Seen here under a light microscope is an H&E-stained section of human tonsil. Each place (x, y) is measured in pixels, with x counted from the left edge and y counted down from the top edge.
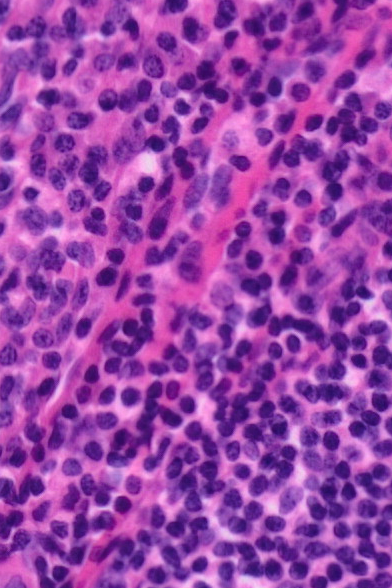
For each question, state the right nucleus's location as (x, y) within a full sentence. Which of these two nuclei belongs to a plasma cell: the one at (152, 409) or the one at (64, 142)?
Lying within a plasma cell is the nucleus at (64, 142).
